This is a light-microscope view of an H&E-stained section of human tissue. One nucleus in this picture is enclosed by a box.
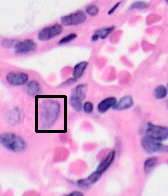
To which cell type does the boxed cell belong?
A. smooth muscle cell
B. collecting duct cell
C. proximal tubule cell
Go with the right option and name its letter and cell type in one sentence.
What option B states, that the boxed cell is a collecting duct cell, is correct.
